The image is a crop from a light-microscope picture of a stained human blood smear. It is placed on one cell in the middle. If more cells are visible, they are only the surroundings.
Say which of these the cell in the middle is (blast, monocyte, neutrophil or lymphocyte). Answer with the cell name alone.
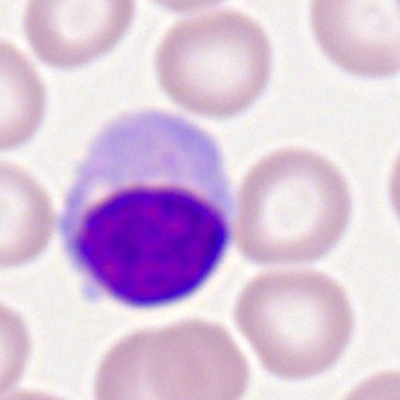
lymphocyte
